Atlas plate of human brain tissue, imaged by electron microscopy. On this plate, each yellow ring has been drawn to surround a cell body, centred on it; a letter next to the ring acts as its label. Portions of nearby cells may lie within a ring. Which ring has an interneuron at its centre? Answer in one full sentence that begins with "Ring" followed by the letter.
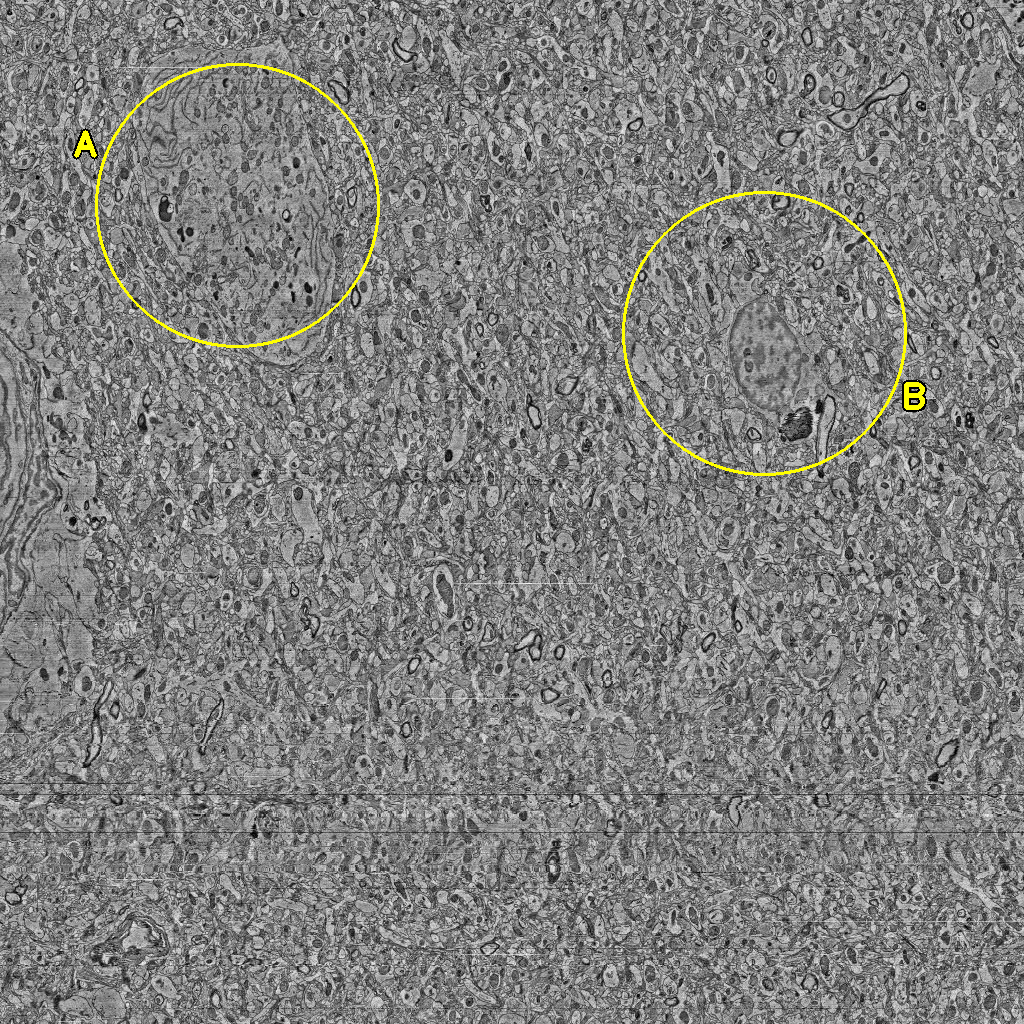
Ring A is drawn around the requested cell, which lies at its centre in the picture.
